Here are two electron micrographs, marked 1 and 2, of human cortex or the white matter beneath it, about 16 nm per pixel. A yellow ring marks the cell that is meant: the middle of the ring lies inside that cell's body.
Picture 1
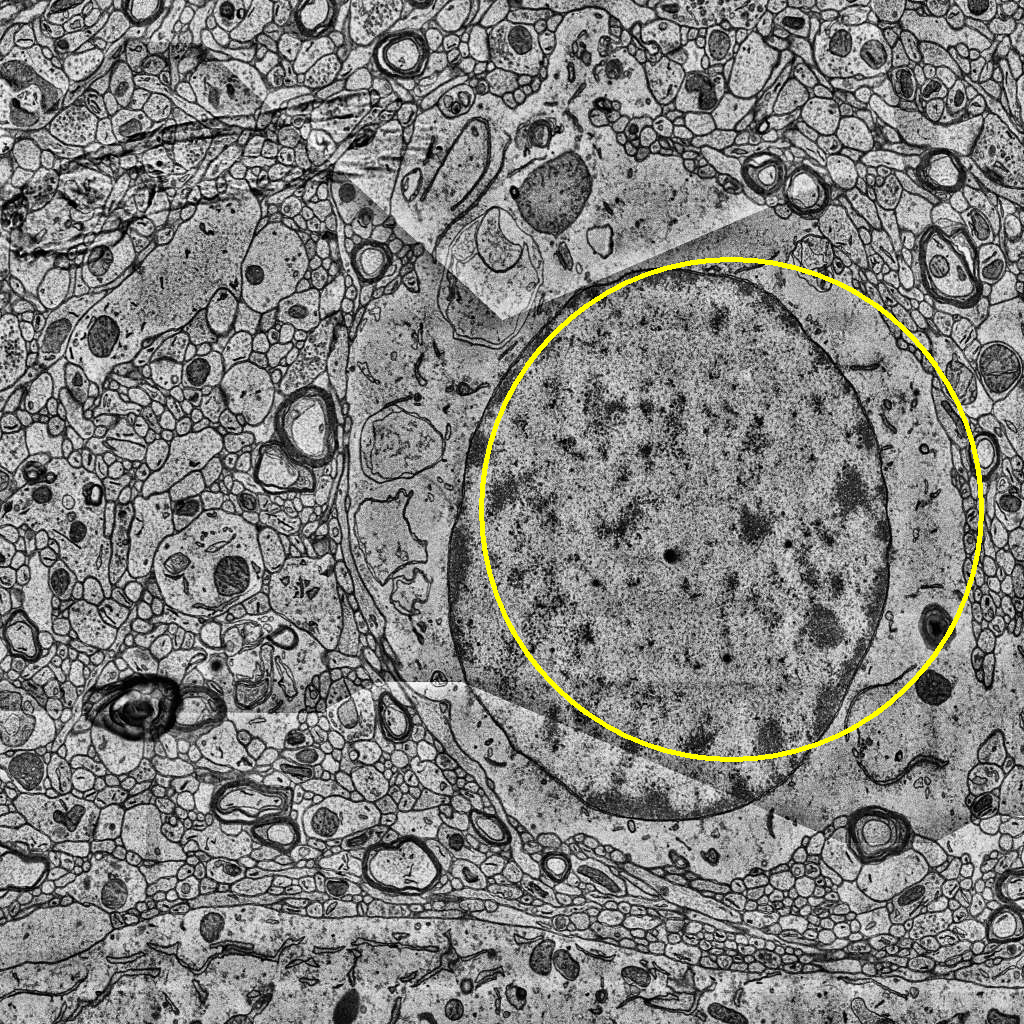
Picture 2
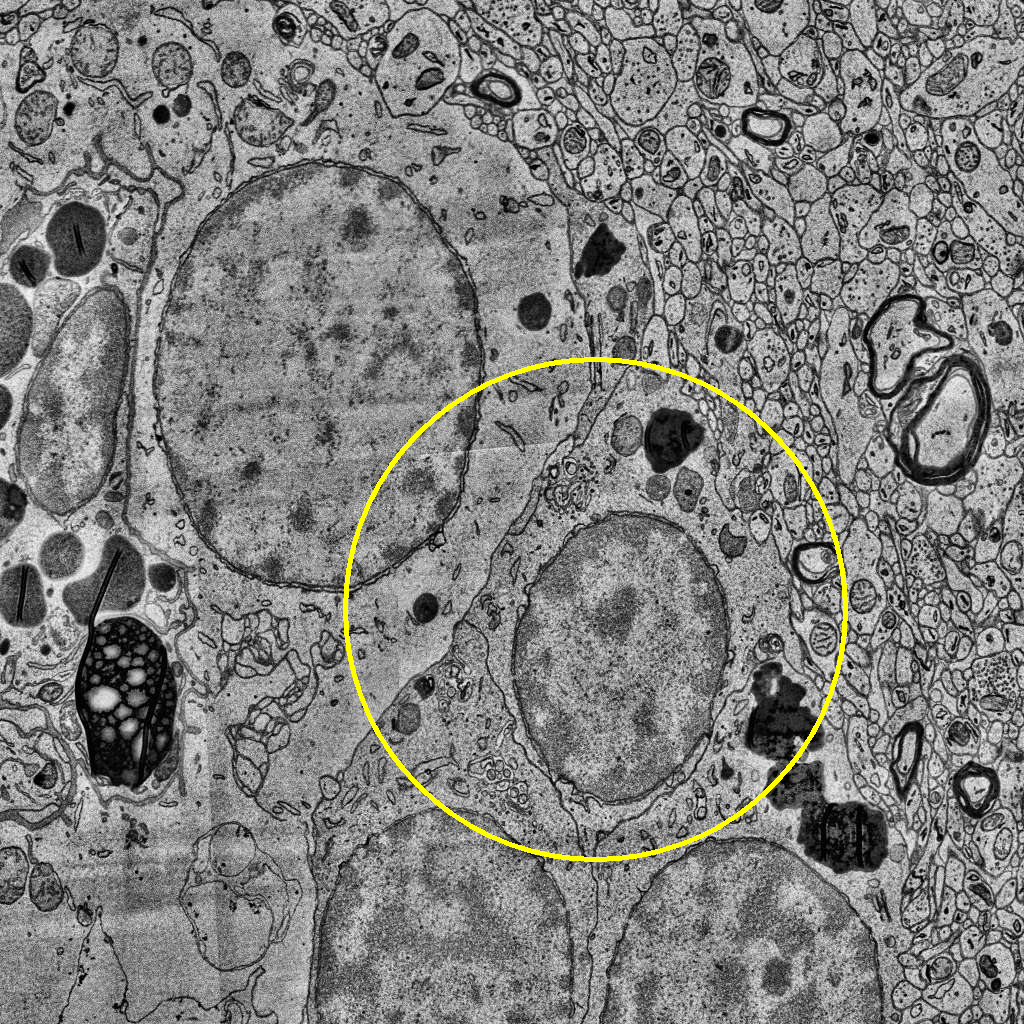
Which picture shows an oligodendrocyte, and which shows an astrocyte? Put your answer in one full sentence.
The cell in picture 1 is an astrocyte, and the one in picture 2 is an oligodendrocyte.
